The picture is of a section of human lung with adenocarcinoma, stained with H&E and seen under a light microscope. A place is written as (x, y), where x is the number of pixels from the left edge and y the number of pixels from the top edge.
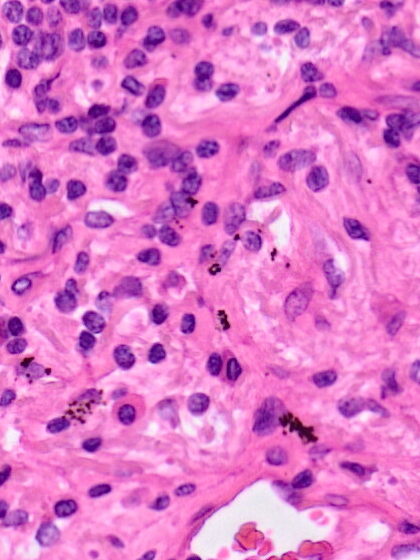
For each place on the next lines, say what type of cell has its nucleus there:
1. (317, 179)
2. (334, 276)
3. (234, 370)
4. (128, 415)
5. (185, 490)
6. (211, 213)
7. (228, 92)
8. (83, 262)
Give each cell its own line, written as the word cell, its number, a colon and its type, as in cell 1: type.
cell 1: lymphocyte
cell 2: fibroblast
cell 3: plasma cell
cell 4: mast cell
cell 5: mast cell
cell 6: lymphocyte
cell 7: lymphocyte
cell 8: lymphocyte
